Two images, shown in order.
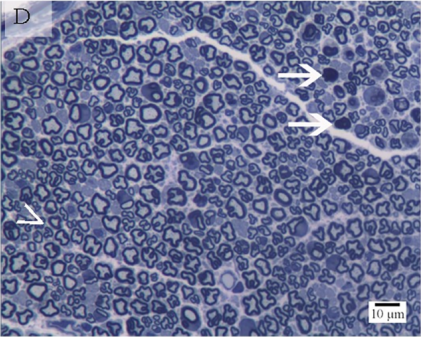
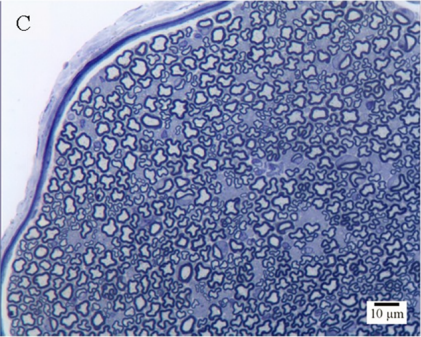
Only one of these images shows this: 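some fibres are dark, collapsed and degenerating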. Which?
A: The first image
